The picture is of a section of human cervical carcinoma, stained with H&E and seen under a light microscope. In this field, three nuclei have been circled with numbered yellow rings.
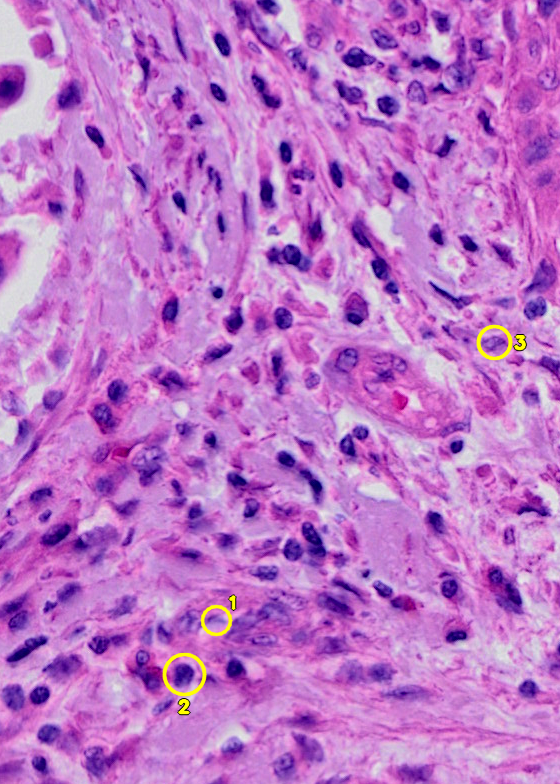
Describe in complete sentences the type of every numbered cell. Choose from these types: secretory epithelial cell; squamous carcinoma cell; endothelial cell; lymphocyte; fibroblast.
Cell 1 is an endothelial cell, cell 2 is a lymphocyte and cell 3 is a fibroblast.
